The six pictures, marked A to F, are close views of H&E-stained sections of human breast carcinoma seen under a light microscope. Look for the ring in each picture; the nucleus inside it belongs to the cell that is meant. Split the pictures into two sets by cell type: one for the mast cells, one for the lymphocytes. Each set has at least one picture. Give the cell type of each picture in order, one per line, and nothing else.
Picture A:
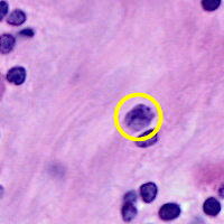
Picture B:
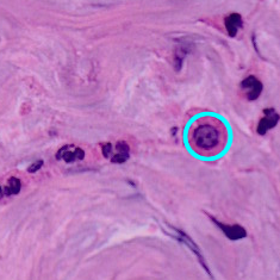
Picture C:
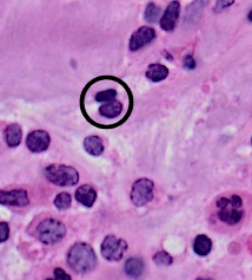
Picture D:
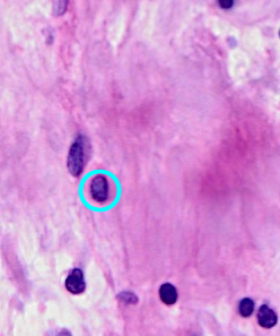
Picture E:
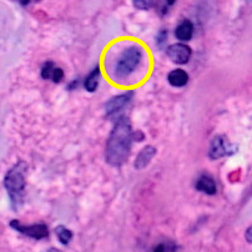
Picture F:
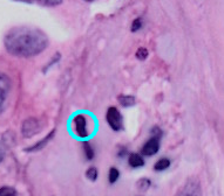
lymphocyte
mast cell
lymphocyte
mast cell
mast cell
lymphocyte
